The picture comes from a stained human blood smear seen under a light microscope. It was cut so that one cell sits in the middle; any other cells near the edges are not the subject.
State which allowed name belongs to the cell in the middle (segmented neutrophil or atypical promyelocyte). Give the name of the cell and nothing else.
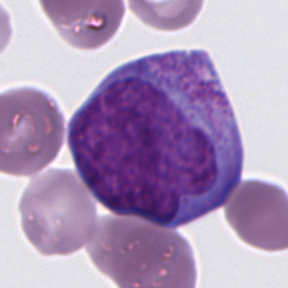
atypical promyelocyte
